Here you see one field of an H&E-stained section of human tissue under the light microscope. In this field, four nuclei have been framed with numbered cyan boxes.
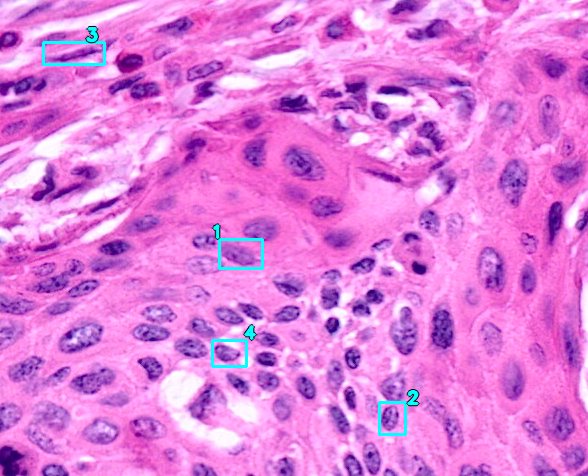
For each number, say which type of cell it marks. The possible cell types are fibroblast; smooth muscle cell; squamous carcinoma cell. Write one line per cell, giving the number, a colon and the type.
1: squamous carcinoma cell
2: squamous carcinoma cell
3: fibroblast
4: squamous carcinoma cell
